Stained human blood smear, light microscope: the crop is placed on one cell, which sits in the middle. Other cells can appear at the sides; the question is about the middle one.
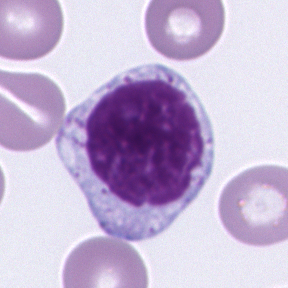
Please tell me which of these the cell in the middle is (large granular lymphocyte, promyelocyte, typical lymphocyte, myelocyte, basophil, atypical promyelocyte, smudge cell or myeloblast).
large granular lymphocyte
